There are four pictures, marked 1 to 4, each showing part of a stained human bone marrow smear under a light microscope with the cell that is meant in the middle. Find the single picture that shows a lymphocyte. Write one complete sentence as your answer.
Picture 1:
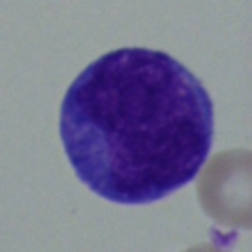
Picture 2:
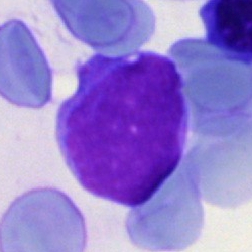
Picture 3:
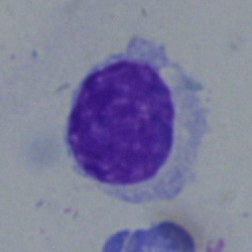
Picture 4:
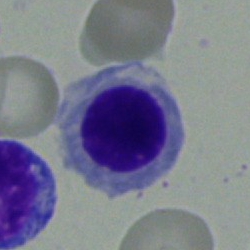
The lymphocyte is the one in picture 3.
